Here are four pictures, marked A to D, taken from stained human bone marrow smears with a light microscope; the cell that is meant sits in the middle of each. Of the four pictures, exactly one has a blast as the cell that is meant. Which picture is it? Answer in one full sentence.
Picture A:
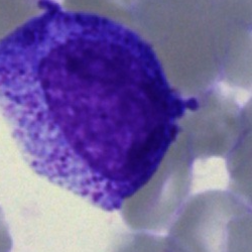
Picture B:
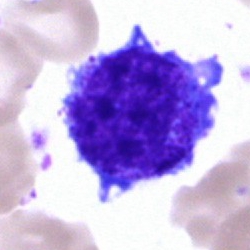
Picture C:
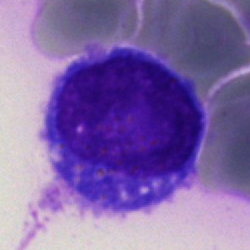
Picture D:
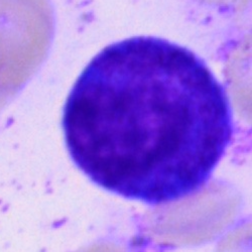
Picture C is the one that shows the blast.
